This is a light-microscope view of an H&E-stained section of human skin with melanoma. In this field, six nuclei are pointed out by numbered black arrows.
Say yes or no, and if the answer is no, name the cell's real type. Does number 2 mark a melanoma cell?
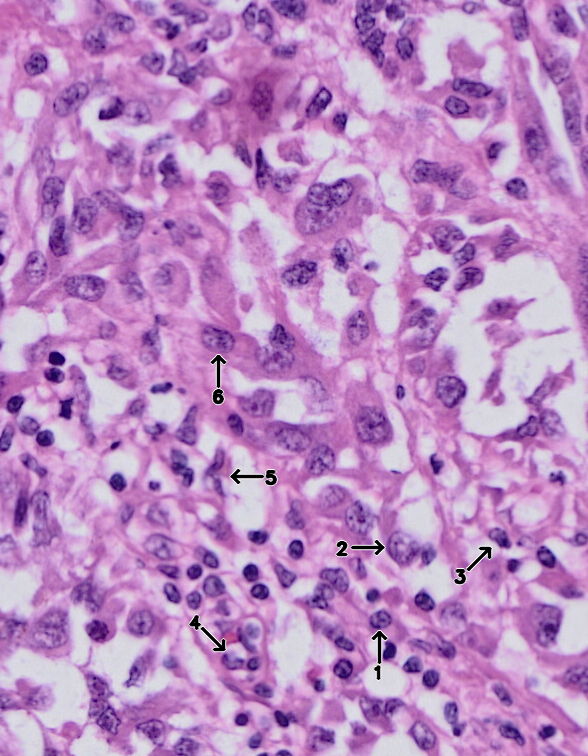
Yes.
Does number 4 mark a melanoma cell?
No, it is an endothelial cell.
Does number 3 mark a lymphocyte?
Yes.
